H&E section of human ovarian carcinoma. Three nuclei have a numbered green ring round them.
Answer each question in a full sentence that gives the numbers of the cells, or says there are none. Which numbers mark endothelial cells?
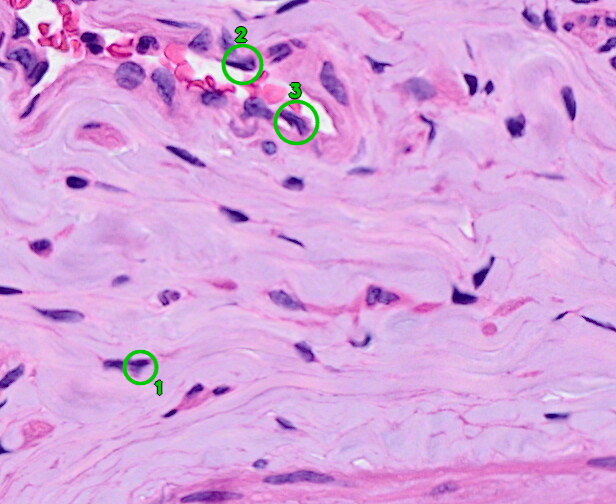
The cells numbered 2 and 3 are typed as endothelial cells.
